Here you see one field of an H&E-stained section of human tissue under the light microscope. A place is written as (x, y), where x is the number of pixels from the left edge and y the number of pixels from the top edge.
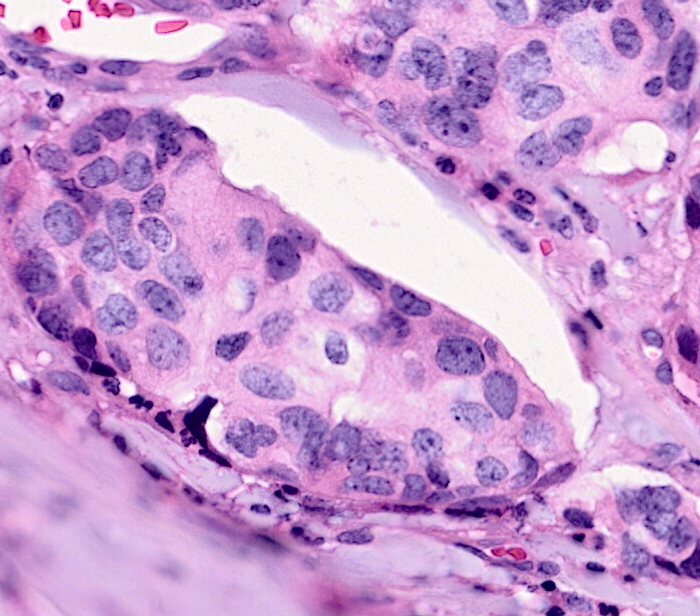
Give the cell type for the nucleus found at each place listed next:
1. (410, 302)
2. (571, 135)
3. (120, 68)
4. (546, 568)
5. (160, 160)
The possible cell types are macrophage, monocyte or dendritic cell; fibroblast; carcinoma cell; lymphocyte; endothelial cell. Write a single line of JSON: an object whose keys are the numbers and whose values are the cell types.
{"1": "carcinoma cell", "2": "carcinoma cell", "3": "endothelial cell", "4": "endothelial cell", "5": "carcinoma cell"}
